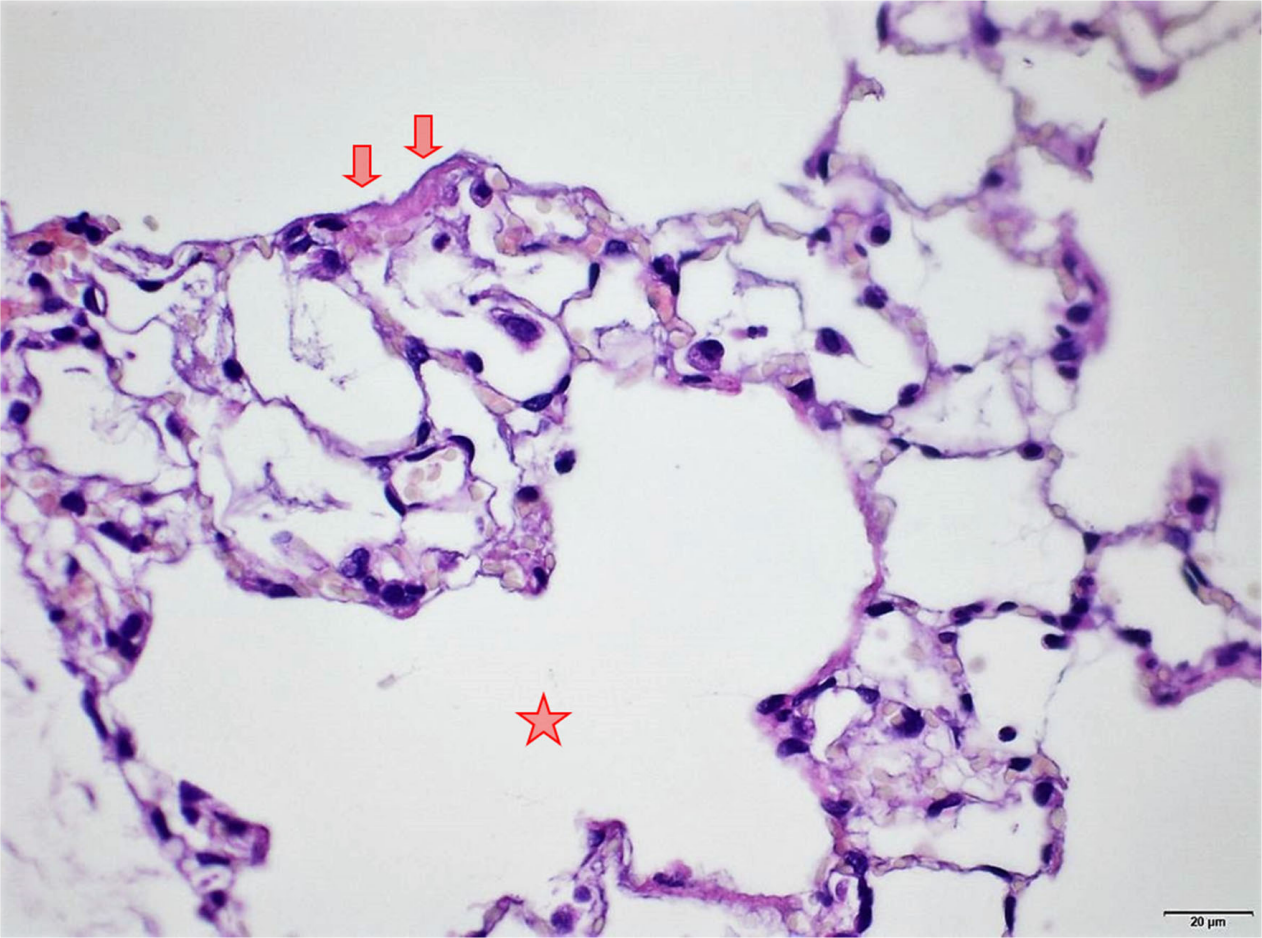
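Lung parenchyma with thin alveolar septa. The septa are lined by flattened cells with dark, elongated nuclei, and their capillaries hold pale tan-pink red blood cells. In the centre lies an airspace several times wider than the neighbouring alveoli. It is bordered by septal fragments, some of which end freely at its margin. At the upper left, a short segment of the surface septum is smooth and bright pink, with few nuclei. Nearby alveolar spaces contain faint wispy pale material. The septa at the right are thin and delicate.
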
